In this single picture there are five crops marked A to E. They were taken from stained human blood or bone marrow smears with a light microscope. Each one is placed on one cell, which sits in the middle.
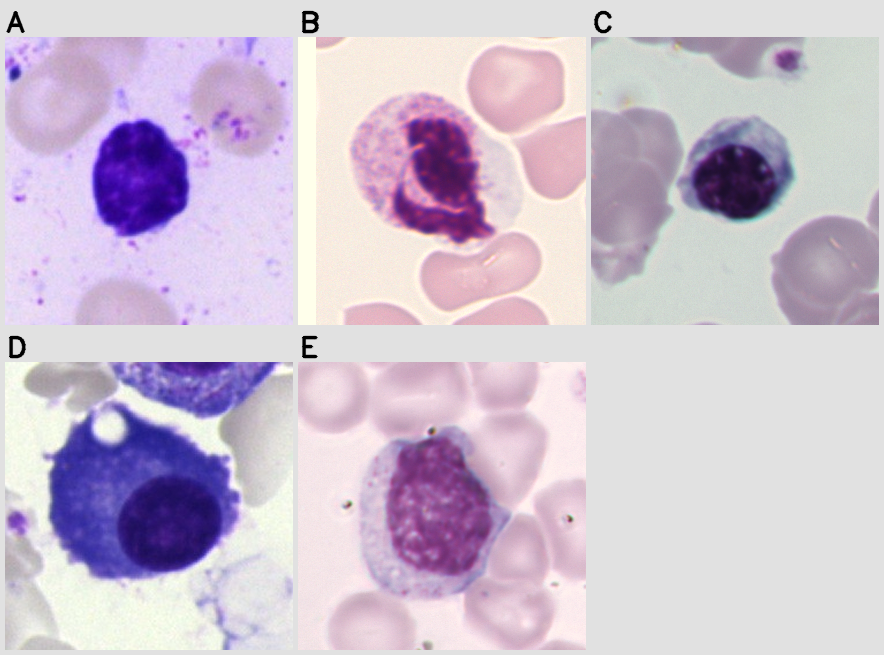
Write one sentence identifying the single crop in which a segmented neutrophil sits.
Crop B is the crop in which a segmented neutrophil is shown.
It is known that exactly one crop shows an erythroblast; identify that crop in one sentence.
Crop C represents an erythroblast, while the other crops do not.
